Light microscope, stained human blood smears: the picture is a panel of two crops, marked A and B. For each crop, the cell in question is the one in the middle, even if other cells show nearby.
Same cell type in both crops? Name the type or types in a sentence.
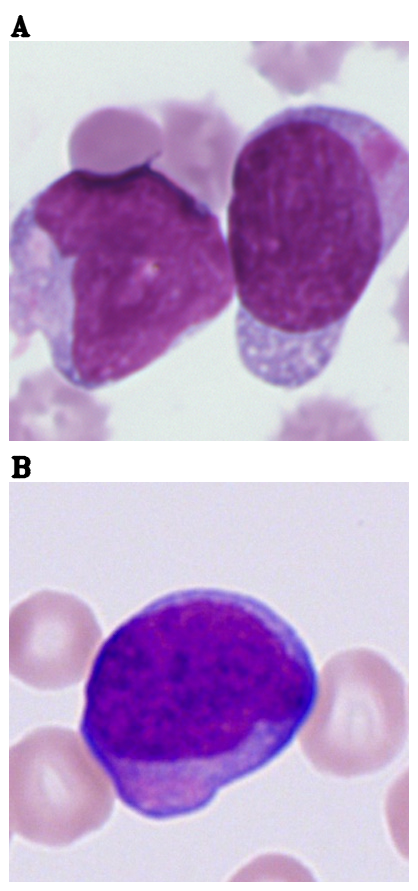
Yes, in both of the crops, the central cells are blasts.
